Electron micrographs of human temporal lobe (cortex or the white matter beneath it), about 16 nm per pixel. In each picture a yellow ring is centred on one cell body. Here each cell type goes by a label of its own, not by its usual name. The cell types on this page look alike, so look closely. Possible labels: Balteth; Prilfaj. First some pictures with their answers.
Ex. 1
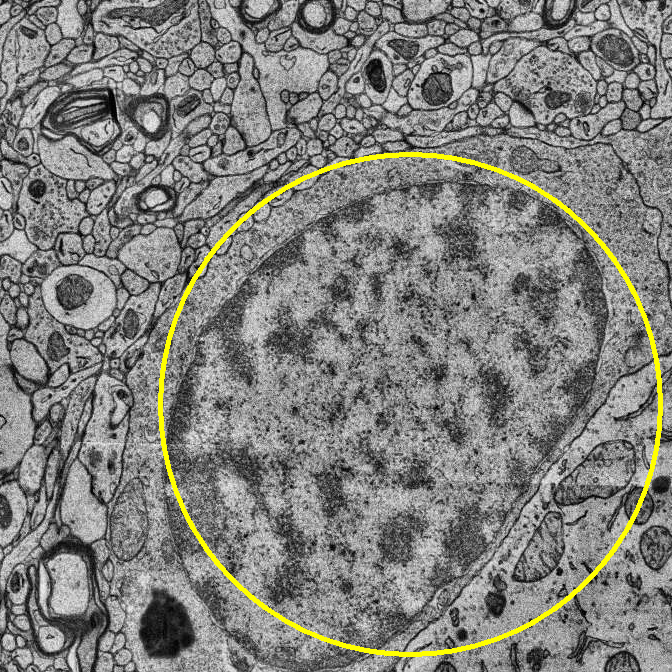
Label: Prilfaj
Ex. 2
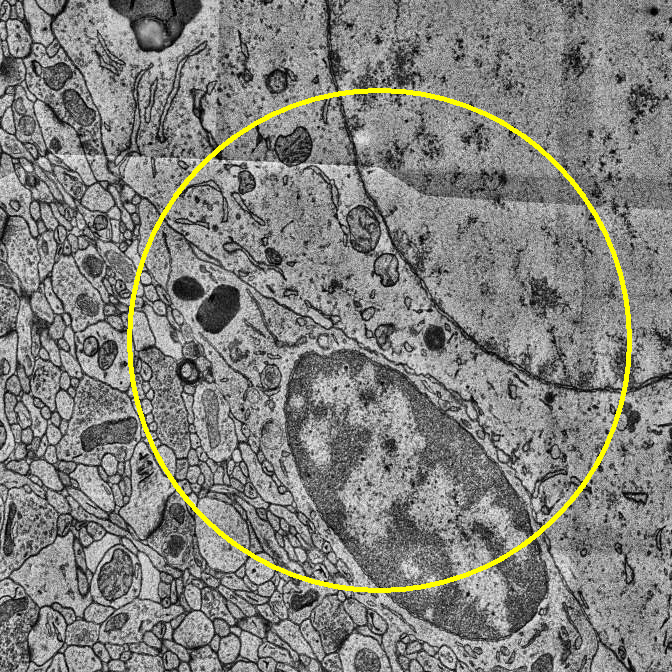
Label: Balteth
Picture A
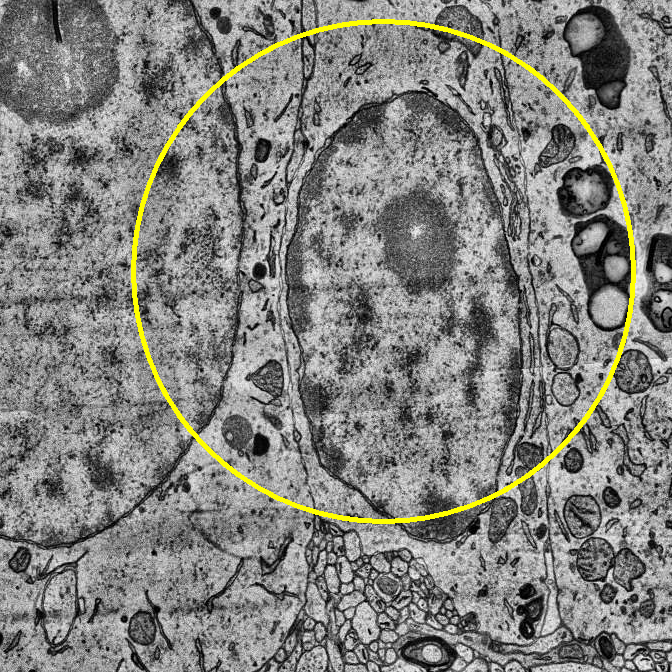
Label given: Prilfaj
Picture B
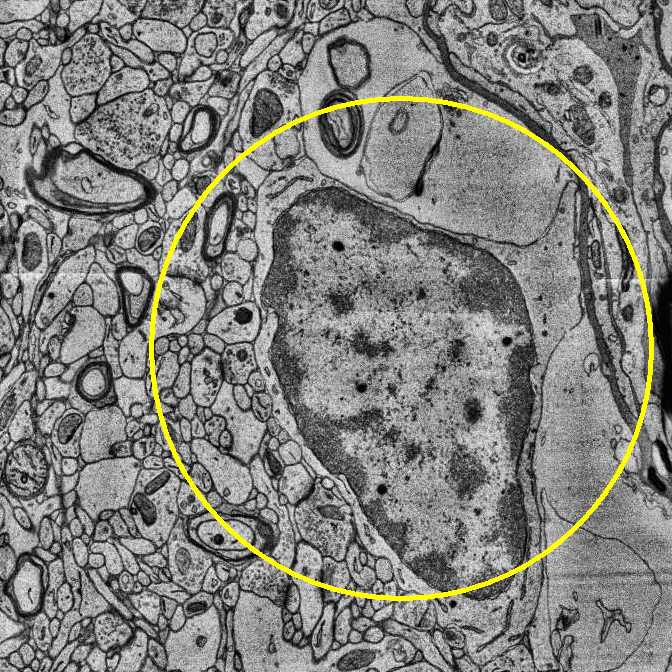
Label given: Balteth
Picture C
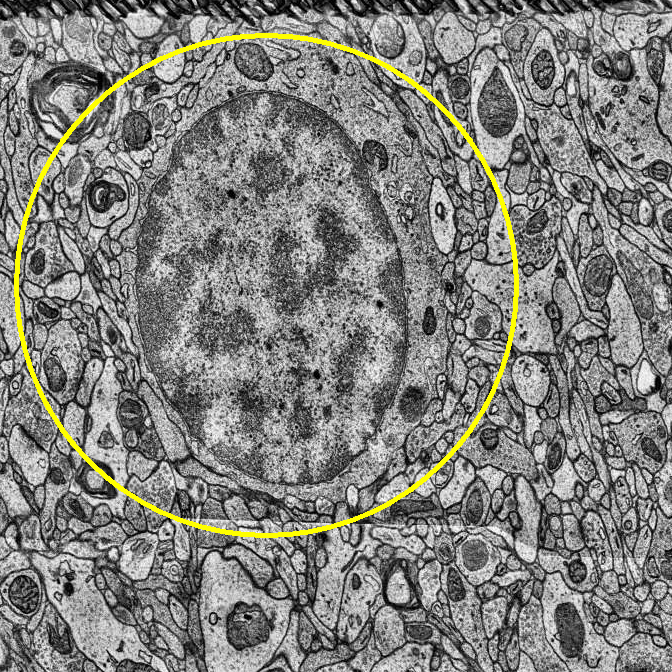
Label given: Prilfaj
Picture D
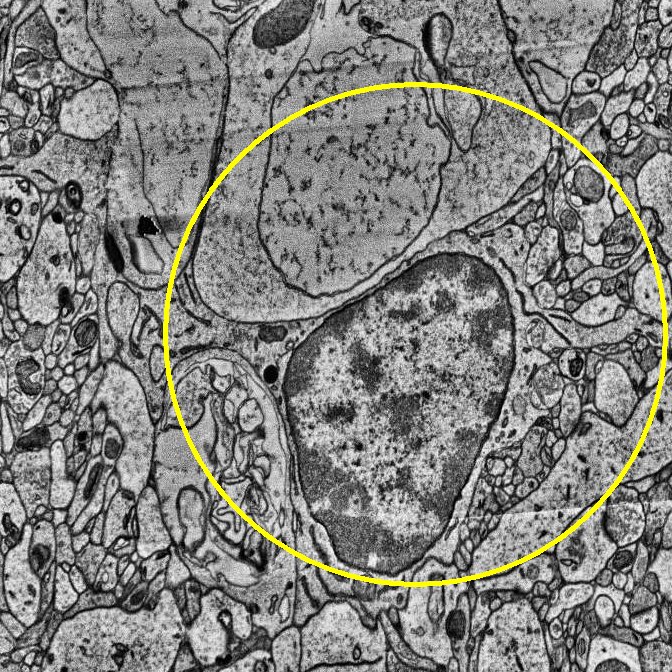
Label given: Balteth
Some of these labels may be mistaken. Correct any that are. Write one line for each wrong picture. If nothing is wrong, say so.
A: Balteth, not Prilfaj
